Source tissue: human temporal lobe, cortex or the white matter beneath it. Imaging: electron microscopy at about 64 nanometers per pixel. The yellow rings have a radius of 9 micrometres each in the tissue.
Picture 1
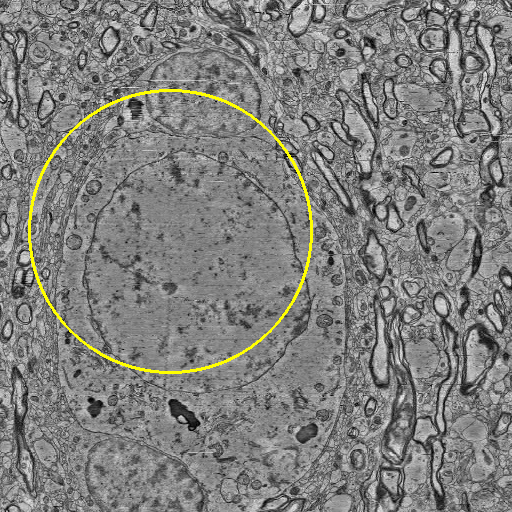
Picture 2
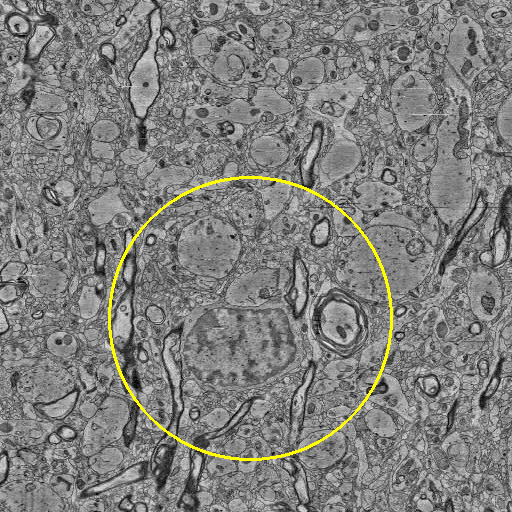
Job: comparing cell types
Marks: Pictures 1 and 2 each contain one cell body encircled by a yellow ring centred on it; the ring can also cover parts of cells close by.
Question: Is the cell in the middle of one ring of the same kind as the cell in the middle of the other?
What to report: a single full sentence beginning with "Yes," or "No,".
No, the cell at the ring centre in Picture 1 and its partner in Picture 2 are of two kinds.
